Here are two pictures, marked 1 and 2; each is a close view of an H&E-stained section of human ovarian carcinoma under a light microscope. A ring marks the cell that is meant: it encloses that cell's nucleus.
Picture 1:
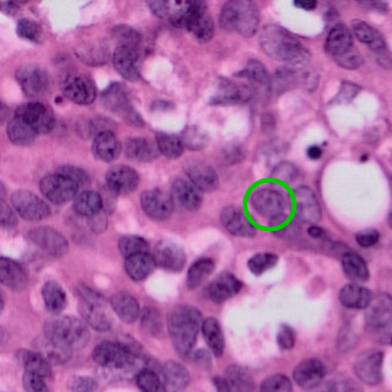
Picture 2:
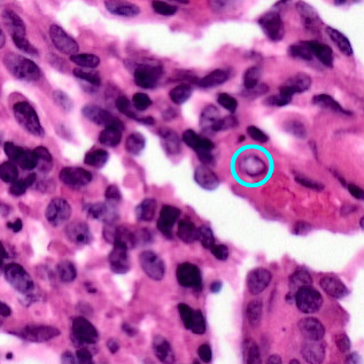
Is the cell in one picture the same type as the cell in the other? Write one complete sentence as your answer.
No, picture 1 shows a carcinoma cell and picture 2 shows an endothelial cell.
